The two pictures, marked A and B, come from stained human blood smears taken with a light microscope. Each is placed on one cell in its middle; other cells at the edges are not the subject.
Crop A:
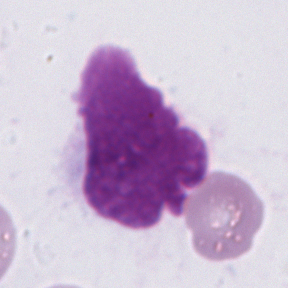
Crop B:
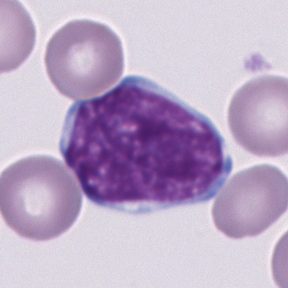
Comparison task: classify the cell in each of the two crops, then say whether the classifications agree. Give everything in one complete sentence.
No, a smudge cell is in crop A, while a myeloblast is in crop B.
